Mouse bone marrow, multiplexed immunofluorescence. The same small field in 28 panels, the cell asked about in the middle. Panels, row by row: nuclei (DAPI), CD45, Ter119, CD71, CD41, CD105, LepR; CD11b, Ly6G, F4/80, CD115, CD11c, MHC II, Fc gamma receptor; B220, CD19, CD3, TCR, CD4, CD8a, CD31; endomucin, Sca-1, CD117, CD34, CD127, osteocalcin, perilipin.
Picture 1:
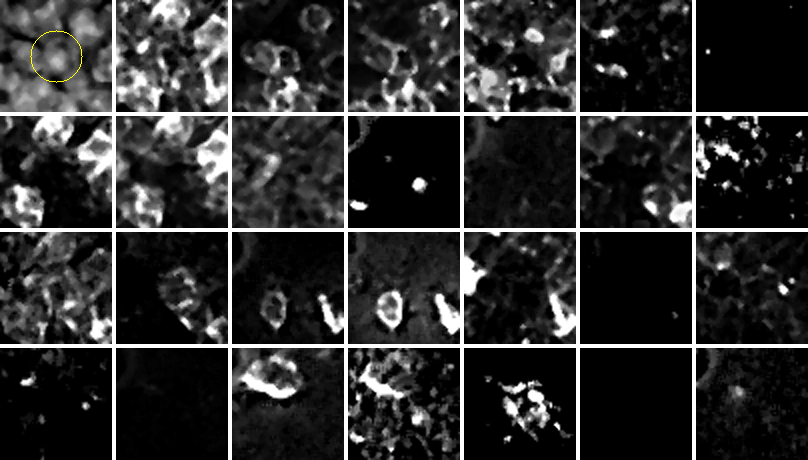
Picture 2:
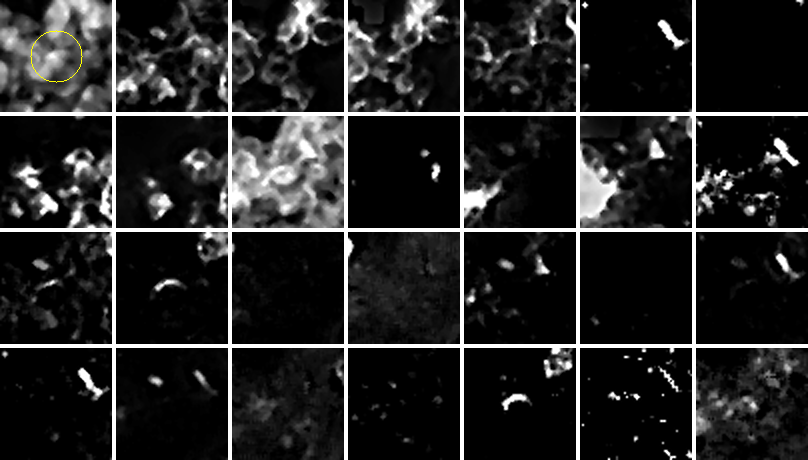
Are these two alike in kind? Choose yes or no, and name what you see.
Yes. Common lymphoid progenitors.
